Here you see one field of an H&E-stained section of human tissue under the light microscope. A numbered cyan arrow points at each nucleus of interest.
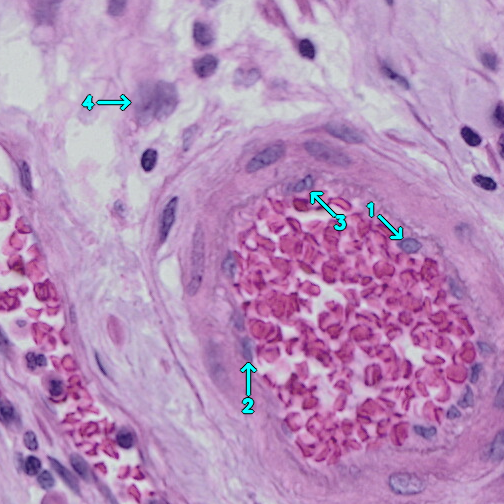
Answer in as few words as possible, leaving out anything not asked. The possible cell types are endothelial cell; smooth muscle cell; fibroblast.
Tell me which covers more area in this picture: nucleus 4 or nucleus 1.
4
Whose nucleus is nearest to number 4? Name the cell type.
fibroblast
